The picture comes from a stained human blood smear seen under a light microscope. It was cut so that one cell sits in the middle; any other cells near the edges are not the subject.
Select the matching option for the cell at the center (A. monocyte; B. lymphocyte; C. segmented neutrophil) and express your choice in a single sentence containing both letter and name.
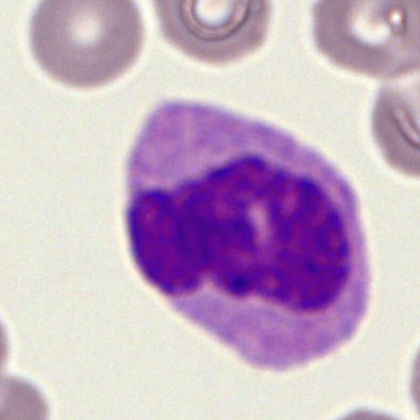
Well, the cell in the middle is a monocyte, making option A right.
